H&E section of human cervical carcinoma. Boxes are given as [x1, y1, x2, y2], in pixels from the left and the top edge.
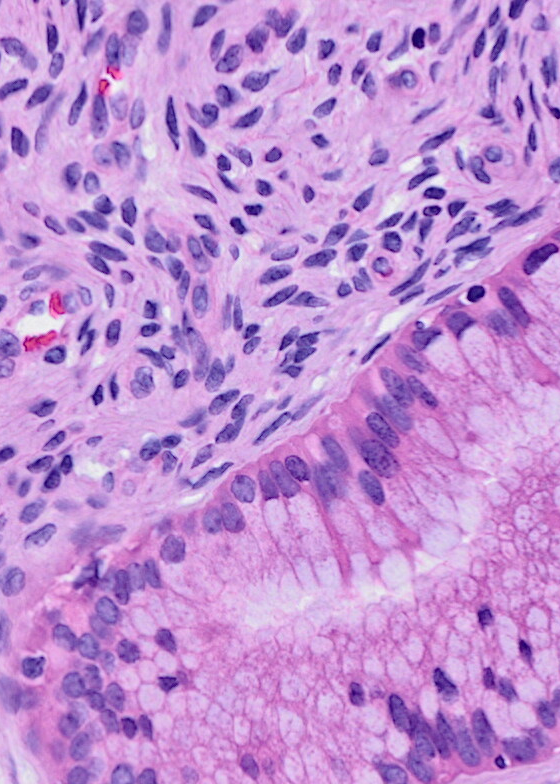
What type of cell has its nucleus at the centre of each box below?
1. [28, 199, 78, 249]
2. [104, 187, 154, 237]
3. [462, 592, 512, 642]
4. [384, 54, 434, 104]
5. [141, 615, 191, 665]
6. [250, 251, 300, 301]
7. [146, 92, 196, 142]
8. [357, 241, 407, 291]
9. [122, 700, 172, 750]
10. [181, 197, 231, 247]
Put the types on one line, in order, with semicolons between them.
fibroblast; fibroblast; secretory epithelial cell; endothelial cell; secretory epithelial cell; fibroblast; fibroblast; endothelial cell; secretory epithelial cell; fibroblast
